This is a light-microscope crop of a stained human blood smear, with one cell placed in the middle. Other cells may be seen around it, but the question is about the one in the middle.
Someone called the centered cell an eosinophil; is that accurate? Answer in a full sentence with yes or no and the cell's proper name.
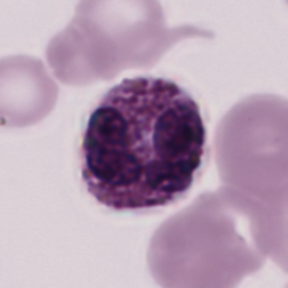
Yes, the cell lying in the middle is an eosinophil.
